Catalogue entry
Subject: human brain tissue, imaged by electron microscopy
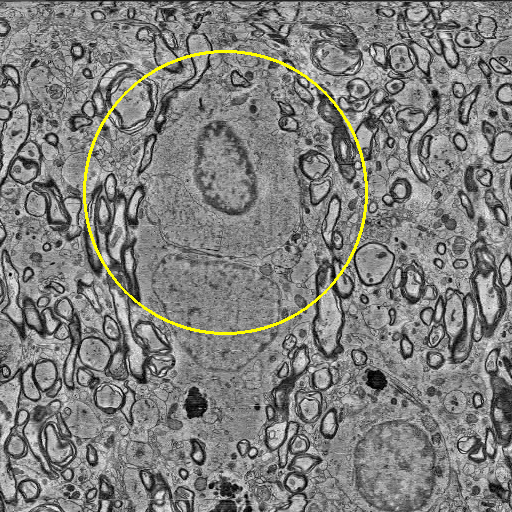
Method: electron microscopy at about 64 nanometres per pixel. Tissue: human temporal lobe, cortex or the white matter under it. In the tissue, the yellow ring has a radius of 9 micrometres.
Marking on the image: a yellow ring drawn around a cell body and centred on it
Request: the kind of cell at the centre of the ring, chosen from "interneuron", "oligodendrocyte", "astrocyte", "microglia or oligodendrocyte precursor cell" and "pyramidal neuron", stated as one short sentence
The ring has a microglial cell or oligodendrocyte precursor cell at its centre.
